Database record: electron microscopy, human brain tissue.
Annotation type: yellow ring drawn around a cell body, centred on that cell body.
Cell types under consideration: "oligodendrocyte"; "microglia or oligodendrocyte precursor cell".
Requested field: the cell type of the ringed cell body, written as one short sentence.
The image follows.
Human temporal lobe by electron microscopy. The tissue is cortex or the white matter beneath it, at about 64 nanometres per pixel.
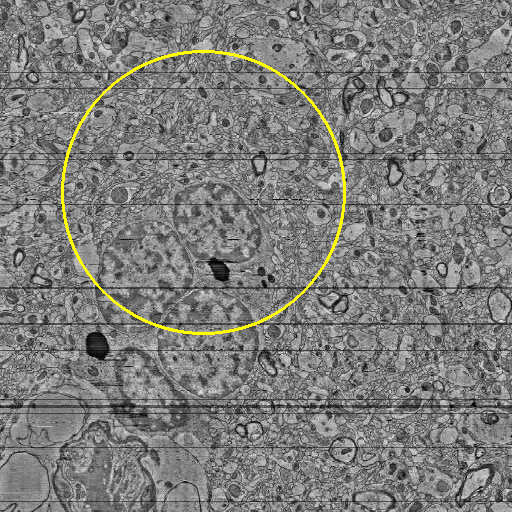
The ringed cell body represents an oligodendrocyte.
